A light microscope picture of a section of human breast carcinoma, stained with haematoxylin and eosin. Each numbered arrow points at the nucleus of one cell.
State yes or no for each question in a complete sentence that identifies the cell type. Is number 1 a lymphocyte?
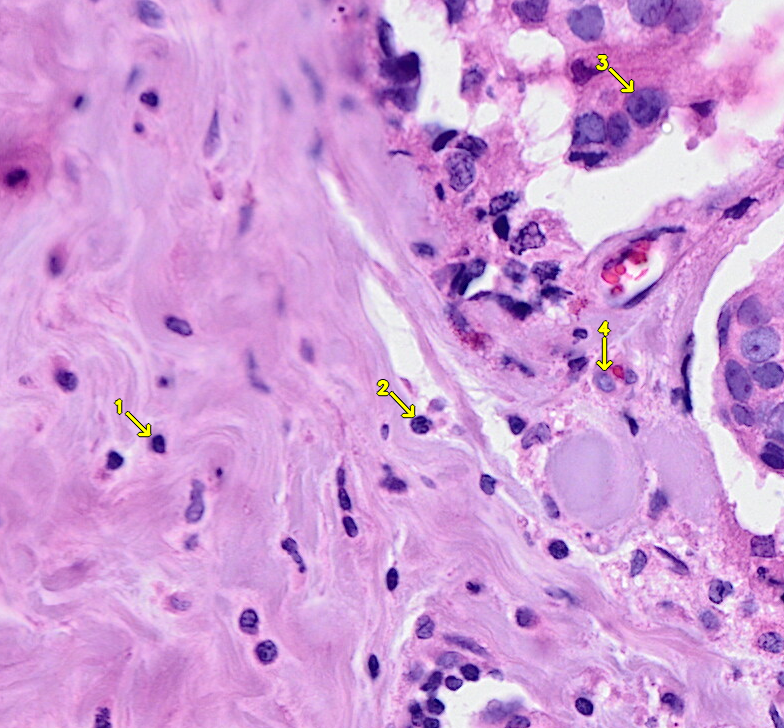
Yes, within this section, cell number 1 is a lymphocyte.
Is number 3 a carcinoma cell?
Yes, the cell shown as number 3 is a carcinoma cell.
